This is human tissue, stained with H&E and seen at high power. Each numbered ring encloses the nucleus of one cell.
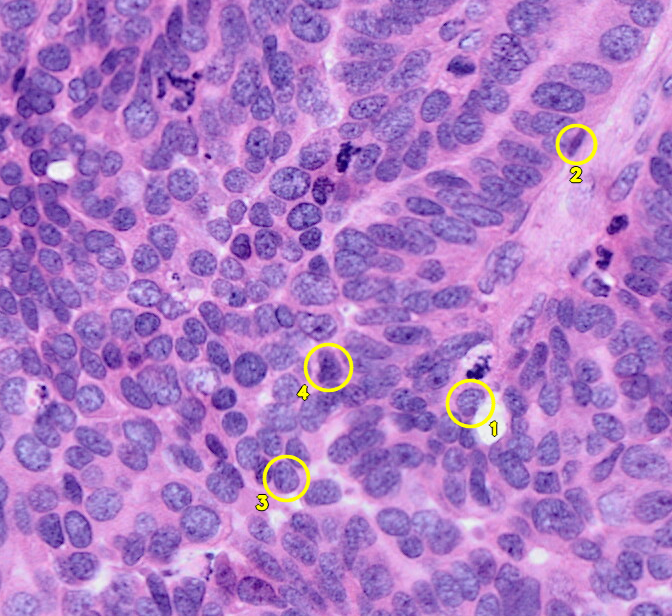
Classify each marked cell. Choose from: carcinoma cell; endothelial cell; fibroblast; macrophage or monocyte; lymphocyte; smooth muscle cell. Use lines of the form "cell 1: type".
cell 1: carcinoma cell
cell 2: fibroblast
cell 3: carcinoma cell
cell 4: carcinoma cell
